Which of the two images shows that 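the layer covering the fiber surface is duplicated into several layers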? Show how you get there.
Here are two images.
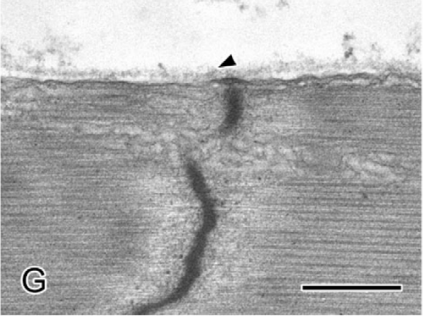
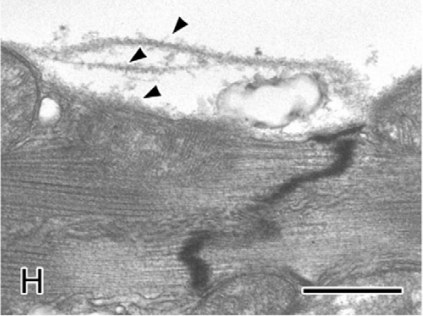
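Second image: several thin fuzzy layers stacked outside the fiber, separated by clear gaps. First image: a single thin layer running closely along the fiber surface.
Hence: the second image.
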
